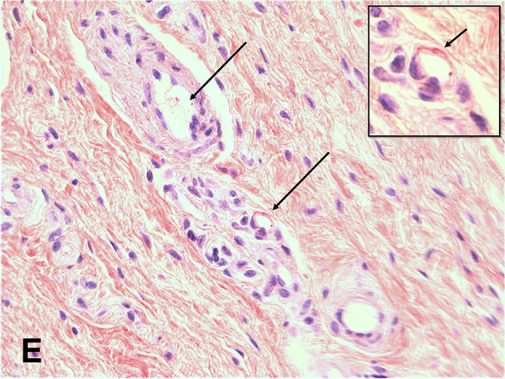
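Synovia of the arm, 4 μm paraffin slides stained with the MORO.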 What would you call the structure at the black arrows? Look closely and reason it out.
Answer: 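The arrows point to round to oval channels with a lumen. On this evidence: bloodvessels.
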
